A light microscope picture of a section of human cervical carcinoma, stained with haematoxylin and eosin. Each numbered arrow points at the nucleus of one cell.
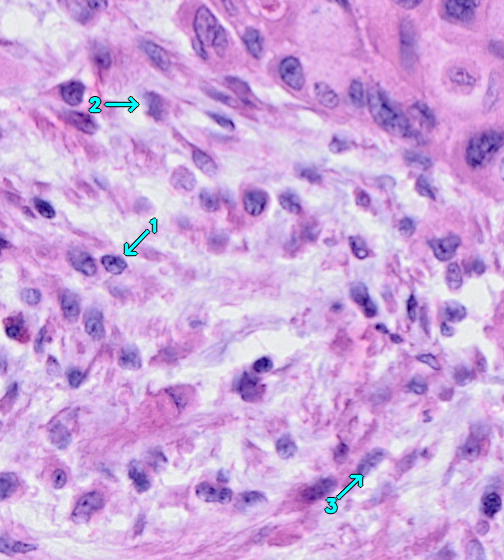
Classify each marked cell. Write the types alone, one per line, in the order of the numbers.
lymphocyte
fibroblast
fibroblast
